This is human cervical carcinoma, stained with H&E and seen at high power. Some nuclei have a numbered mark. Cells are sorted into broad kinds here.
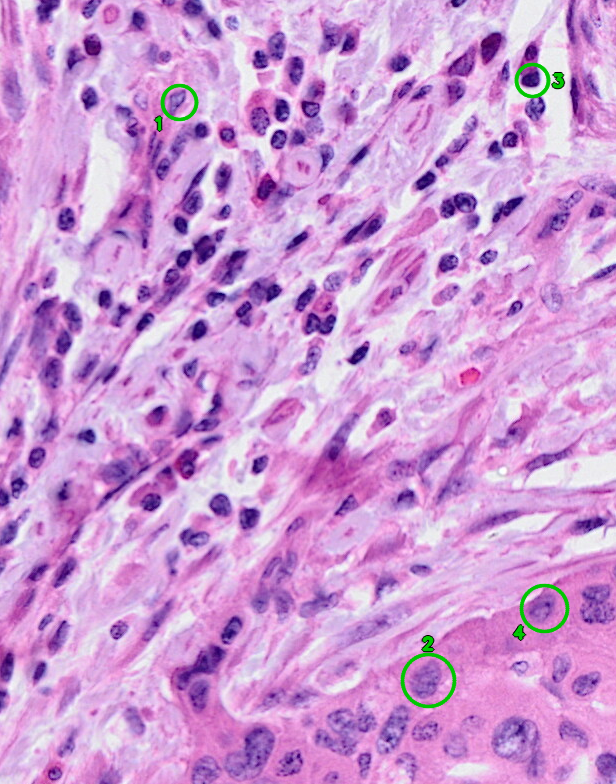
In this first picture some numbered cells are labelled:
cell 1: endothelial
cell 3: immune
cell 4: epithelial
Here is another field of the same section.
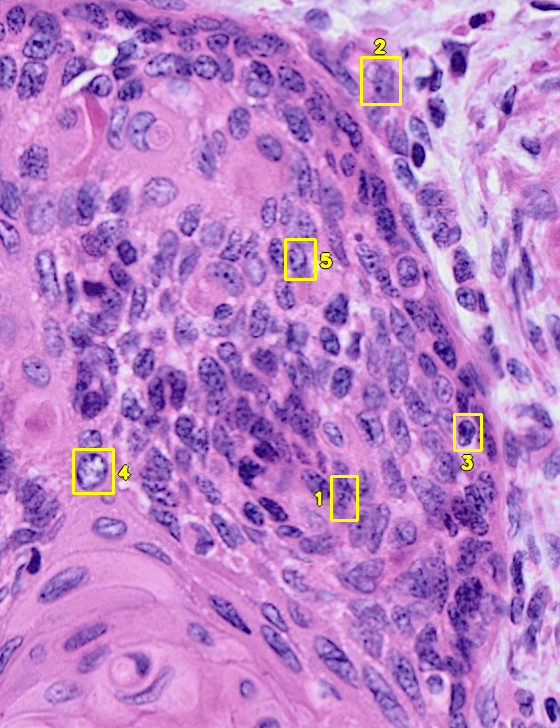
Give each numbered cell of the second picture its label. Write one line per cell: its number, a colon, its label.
1: epithelial
2: endothelial
3: immune
4: epithelial
5: epithelial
